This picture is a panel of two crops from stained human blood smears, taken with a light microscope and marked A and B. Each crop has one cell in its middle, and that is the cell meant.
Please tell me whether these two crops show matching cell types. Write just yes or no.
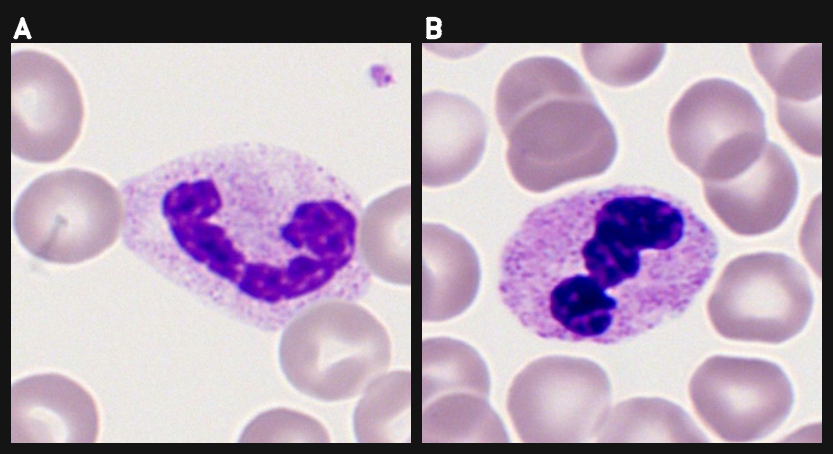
yes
